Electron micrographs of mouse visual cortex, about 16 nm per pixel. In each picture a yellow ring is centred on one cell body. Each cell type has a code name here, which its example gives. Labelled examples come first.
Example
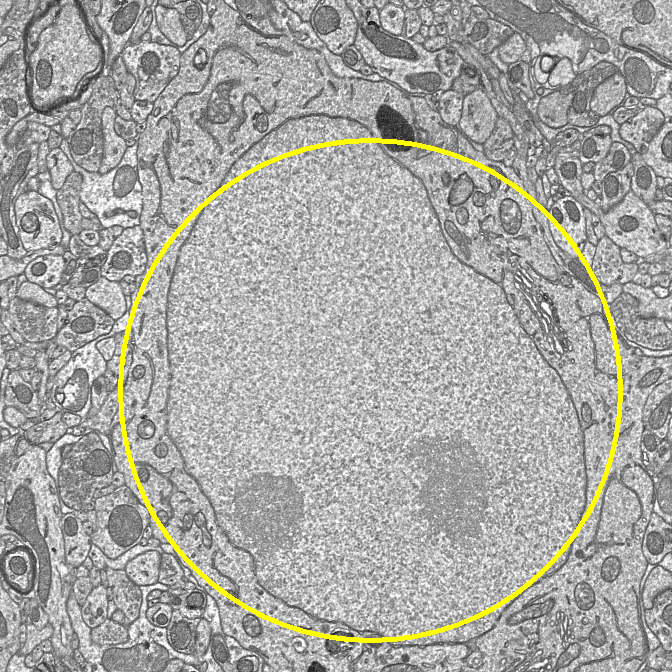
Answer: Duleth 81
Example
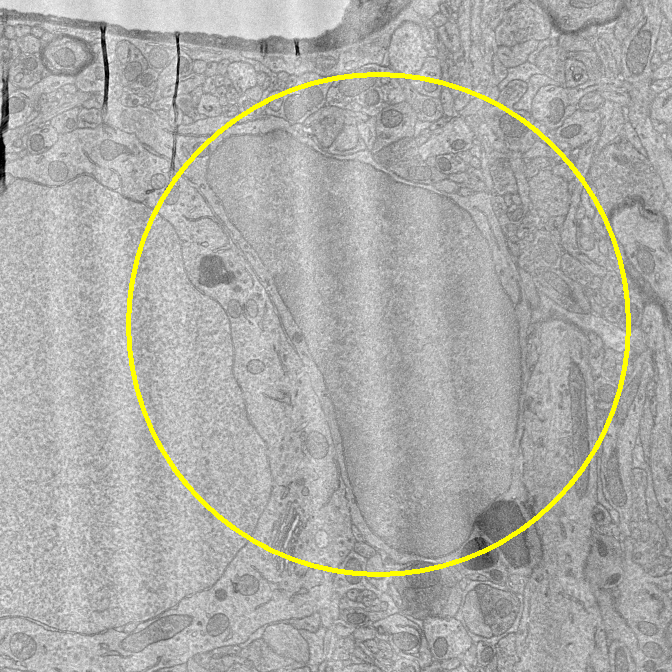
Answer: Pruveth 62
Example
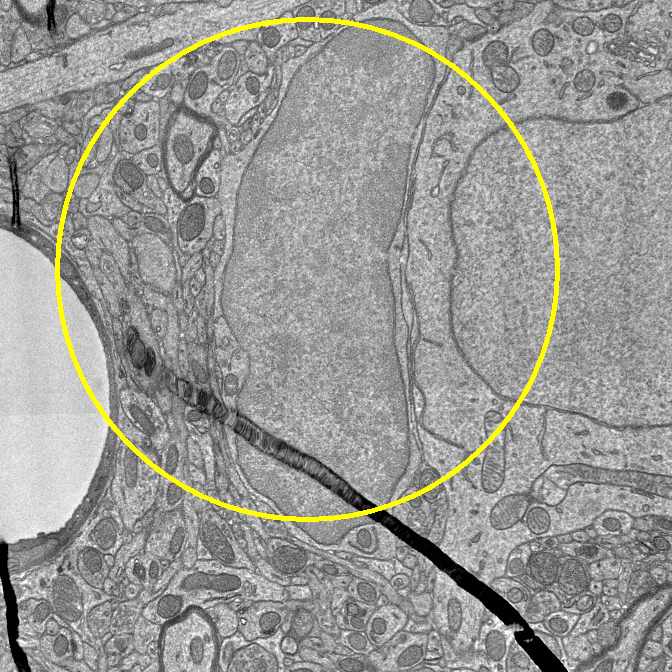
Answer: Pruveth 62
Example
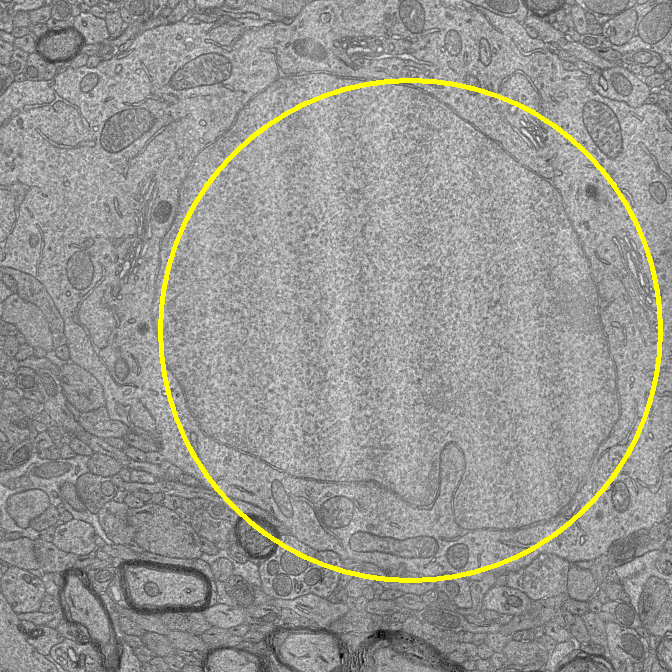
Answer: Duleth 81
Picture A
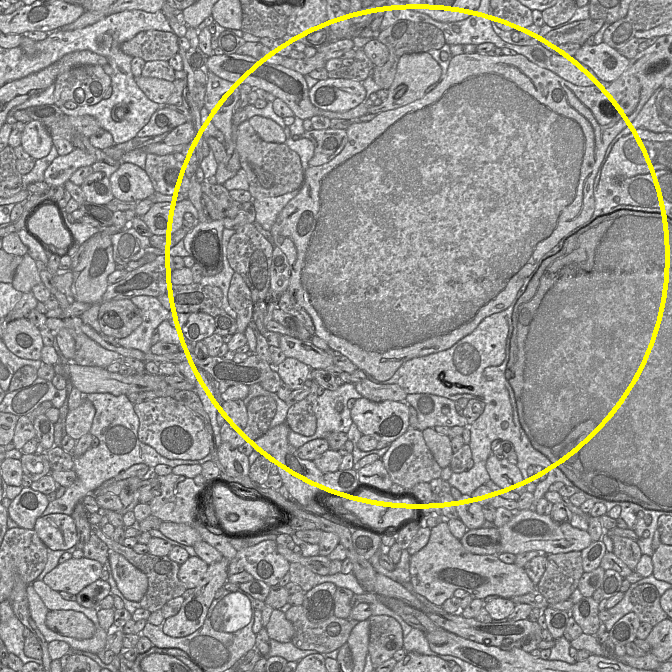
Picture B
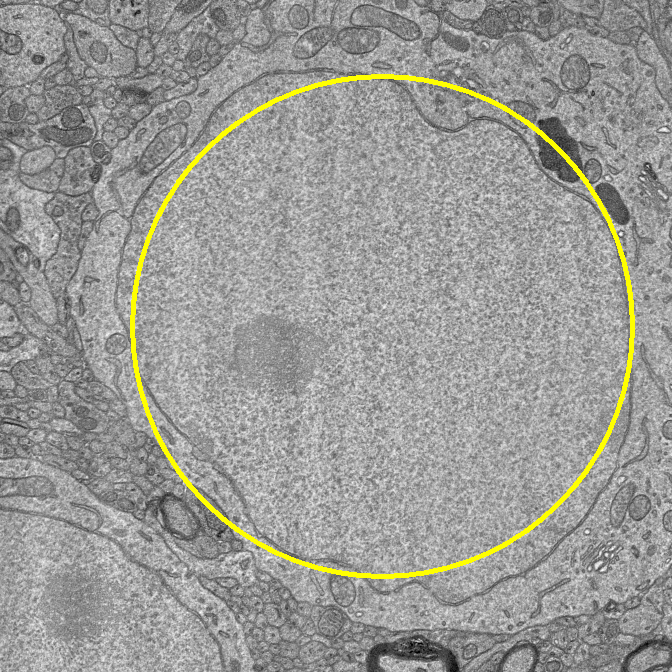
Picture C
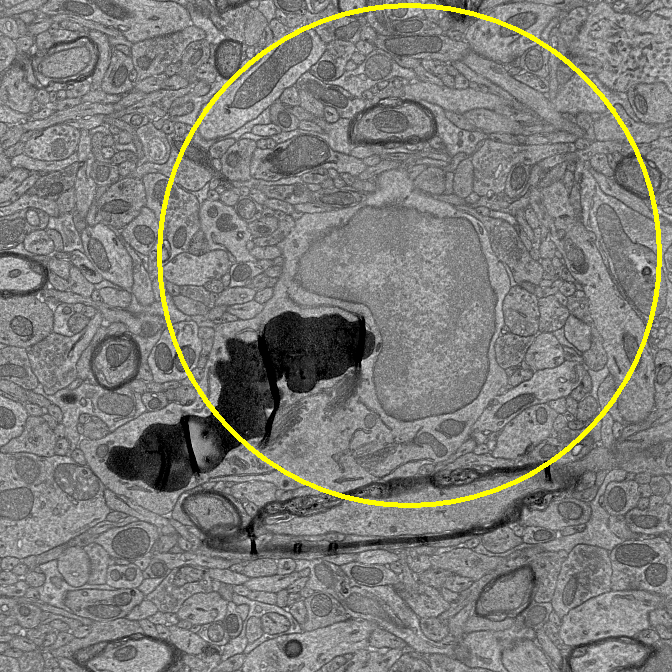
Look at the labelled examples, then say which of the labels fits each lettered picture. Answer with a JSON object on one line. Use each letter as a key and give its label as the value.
{"A": "Pruveth 62", "B": "Duleth 81", "C": "Pruveth 62"}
